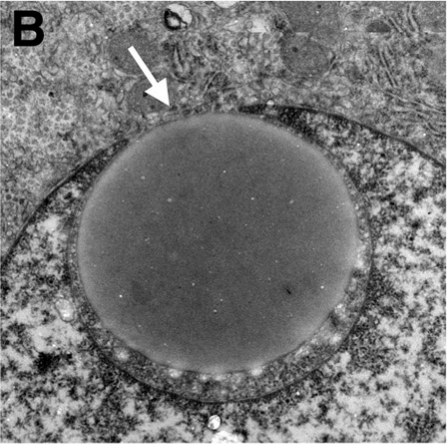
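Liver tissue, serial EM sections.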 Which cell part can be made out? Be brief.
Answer: Lipid droplet.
